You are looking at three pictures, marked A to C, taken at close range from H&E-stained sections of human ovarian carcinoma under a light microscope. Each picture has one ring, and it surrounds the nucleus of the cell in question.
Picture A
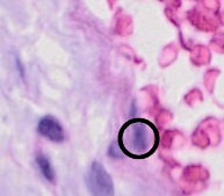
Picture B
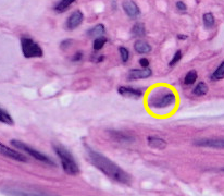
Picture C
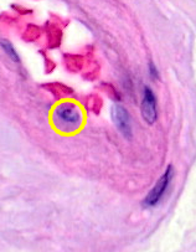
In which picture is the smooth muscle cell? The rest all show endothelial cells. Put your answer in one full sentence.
The cell in picture B is the smooth muscle cell.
